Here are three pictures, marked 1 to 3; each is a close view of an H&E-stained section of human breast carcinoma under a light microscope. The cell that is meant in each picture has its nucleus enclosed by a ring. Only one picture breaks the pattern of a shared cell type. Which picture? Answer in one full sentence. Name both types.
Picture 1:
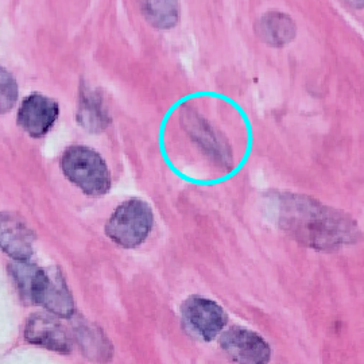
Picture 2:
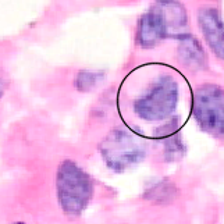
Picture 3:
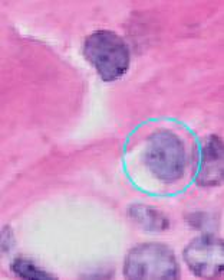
The different one is picture 1; it shows a fibroblast, whereas all the others show carcinoma cells.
